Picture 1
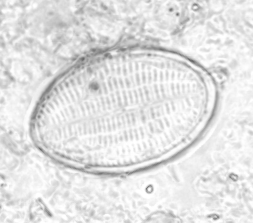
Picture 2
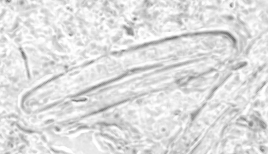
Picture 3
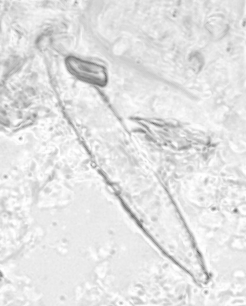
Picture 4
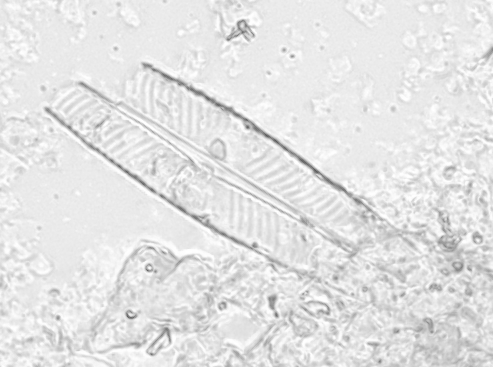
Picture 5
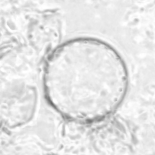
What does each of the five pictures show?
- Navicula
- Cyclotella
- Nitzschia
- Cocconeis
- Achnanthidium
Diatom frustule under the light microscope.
1. Cocconeis
2. Achnanthidium
3. Nitzschia
4. Navicula
5. Cyclotella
